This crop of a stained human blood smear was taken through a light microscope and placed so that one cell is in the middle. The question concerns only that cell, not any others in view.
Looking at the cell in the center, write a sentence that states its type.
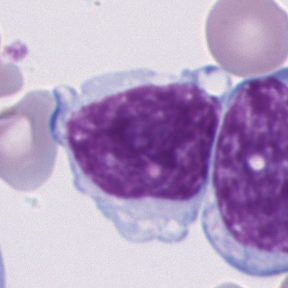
The cell around which this crop is centred is a blast.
